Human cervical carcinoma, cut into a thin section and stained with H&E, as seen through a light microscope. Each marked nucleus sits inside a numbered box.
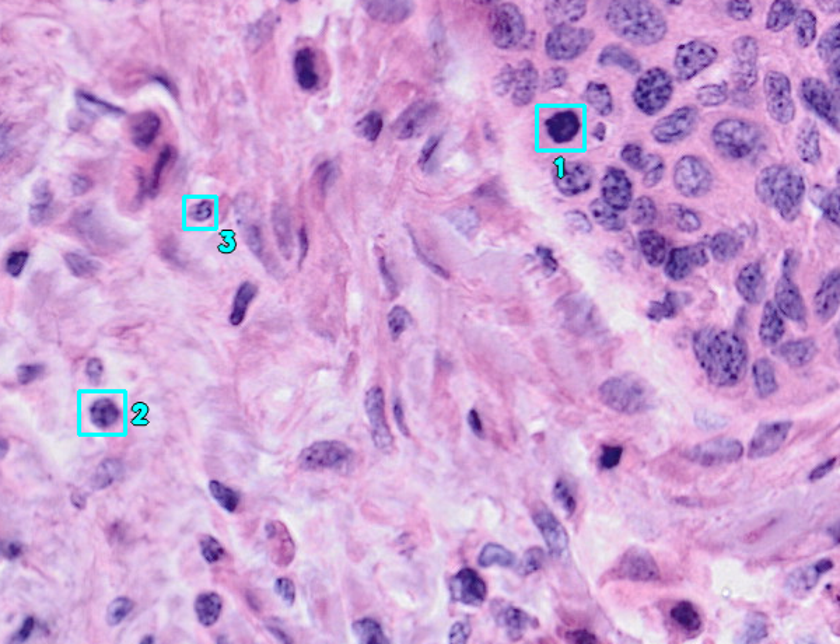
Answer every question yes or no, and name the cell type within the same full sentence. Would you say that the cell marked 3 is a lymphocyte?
Yes, the cell that bears number 3 is a lymphocyte.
